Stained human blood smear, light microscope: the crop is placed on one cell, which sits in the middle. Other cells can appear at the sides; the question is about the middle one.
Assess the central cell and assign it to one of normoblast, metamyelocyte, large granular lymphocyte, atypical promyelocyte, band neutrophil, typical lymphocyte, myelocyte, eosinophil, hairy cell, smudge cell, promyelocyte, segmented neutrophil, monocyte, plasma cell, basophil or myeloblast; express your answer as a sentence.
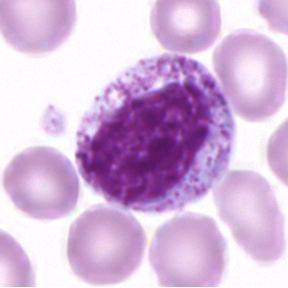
Among the cells in view, the one in the middle is a metamyelocyte.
